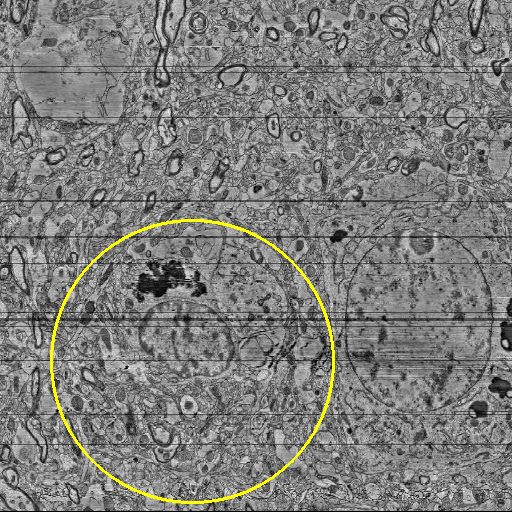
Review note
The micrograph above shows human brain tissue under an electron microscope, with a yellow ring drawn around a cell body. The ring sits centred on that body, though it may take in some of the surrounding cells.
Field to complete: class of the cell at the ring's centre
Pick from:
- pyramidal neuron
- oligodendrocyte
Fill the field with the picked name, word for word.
oligodendrocyte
